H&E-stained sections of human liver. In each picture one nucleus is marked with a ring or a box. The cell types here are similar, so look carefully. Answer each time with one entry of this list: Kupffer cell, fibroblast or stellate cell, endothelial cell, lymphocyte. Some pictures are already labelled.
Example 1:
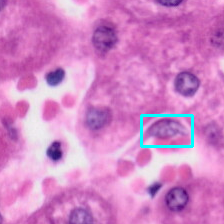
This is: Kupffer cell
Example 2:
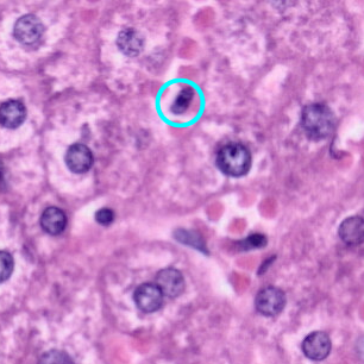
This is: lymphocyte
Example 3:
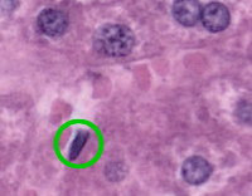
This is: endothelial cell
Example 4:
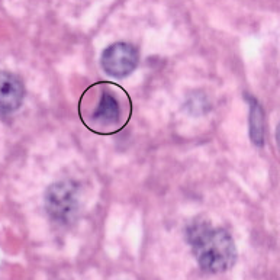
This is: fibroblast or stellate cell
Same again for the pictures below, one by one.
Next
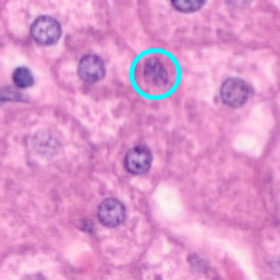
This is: fibroblast or stellate cell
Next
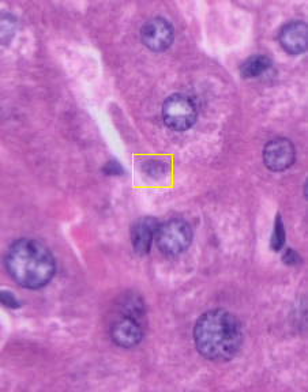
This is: Kupffer cell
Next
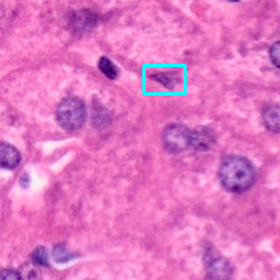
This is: endothelial cell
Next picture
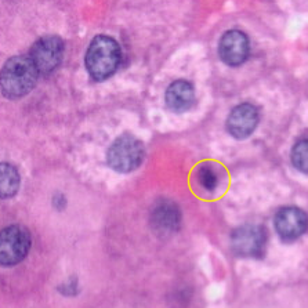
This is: fibroblast or stellate cell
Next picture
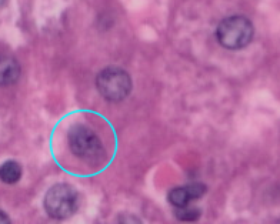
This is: endothelial cell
